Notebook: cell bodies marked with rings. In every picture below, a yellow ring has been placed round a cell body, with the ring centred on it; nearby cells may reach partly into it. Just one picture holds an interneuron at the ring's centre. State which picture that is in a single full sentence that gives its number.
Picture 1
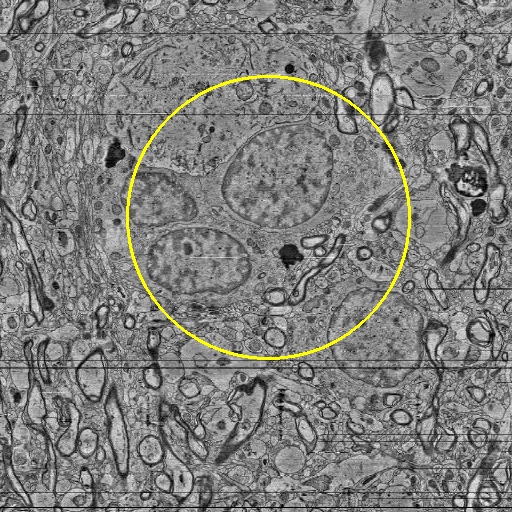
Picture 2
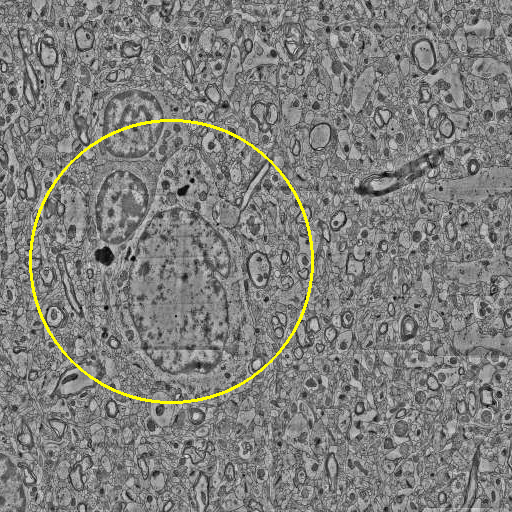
It is picture 2 whose ring has the wanted cell right at its centre.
